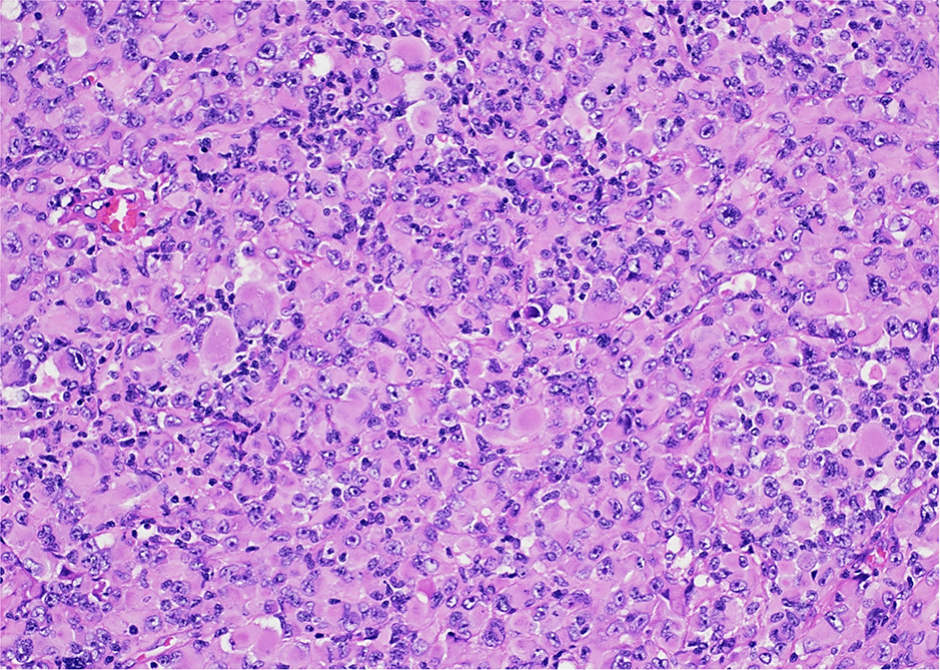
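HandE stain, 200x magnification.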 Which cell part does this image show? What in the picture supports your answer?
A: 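Many large cells have abundant pink cytoplasm. The cytoplasm is glassy and pink around the nuclei. On this evidence: eosinophilic cytoplasm.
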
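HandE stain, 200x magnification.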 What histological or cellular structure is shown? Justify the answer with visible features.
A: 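Cells fill the whole field in a continuous solid sheet. No glands, layers or normal tissue architecture are seen.
Sheets of tumor cells.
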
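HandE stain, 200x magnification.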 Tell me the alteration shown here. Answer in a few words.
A: eccentrically-located nuclei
